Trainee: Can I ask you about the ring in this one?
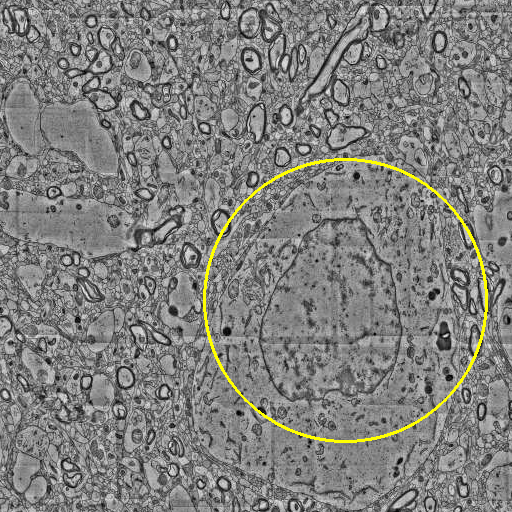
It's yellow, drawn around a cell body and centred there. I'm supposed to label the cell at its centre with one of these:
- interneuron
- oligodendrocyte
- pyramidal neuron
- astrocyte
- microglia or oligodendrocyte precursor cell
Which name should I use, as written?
pyramidal neuron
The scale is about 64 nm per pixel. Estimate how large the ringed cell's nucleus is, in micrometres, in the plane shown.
The nucleus measures about 12 by 9 micrometres in this plane.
